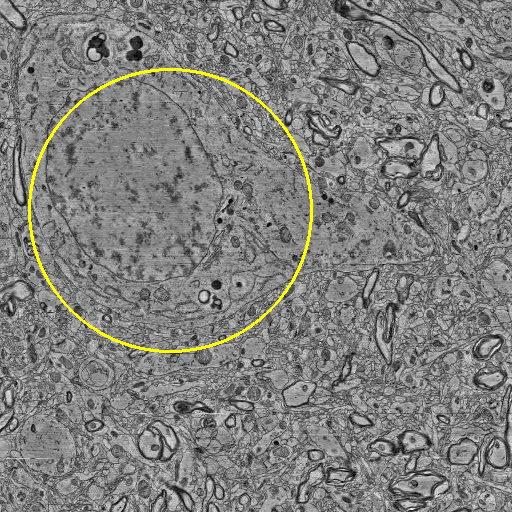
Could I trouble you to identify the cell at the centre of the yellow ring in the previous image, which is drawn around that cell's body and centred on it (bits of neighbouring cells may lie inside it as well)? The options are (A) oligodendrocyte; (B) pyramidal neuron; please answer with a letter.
B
